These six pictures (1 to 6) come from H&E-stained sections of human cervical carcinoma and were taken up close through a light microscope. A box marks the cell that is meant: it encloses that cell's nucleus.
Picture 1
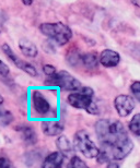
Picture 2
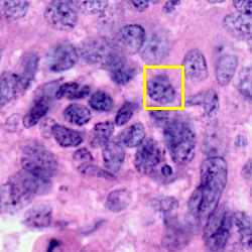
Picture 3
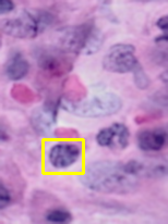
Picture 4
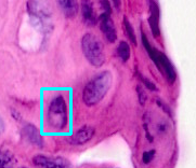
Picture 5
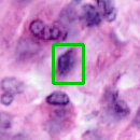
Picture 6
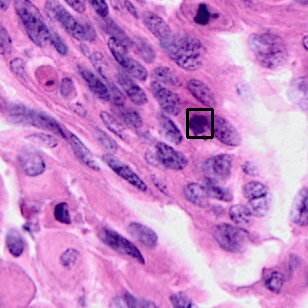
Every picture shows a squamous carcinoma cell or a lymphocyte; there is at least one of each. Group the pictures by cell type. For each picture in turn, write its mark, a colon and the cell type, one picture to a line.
1: lymphocyte
2: squamous carcinoma cell
3: lymphocyte
4: squamous carcinoma cell
5: lymphocyte
6: squamous carcinoma cell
